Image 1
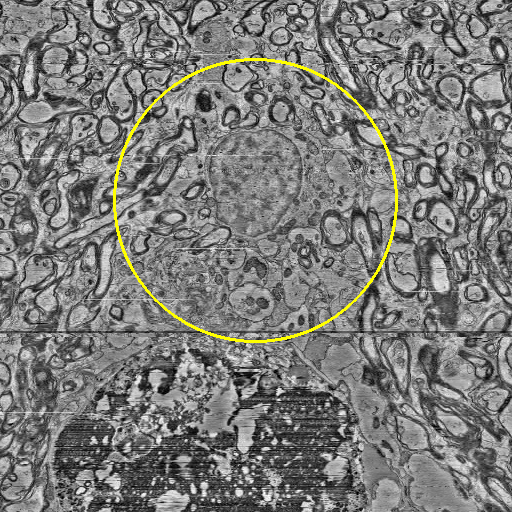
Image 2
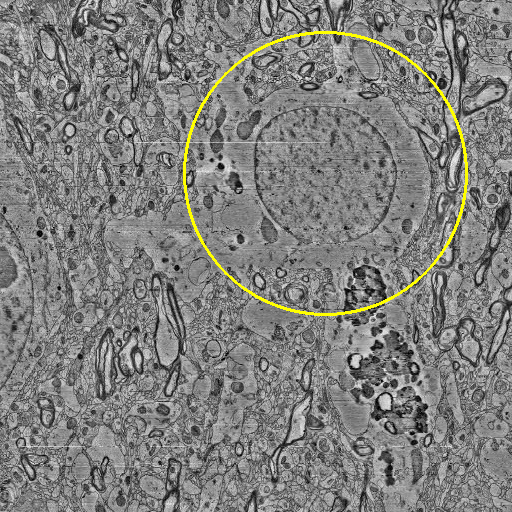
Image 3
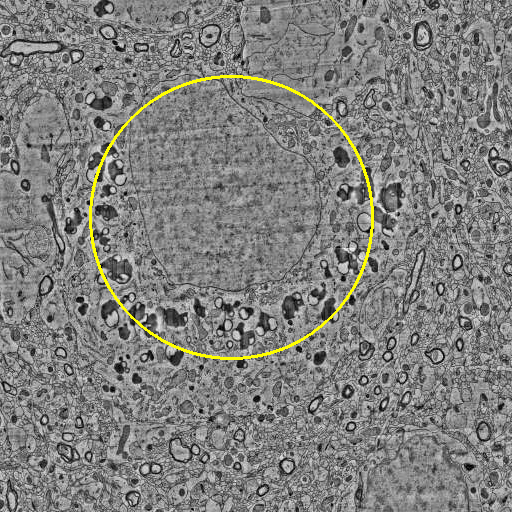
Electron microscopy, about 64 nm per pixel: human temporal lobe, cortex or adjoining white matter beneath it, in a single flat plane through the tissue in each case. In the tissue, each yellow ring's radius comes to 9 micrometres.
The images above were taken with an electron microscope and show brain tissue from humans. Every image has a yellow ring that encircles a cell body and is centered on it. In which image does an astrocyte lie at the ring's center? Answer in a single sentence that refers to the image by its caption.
In Image 2, the cell at the center of the yellow ring is the correct match.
